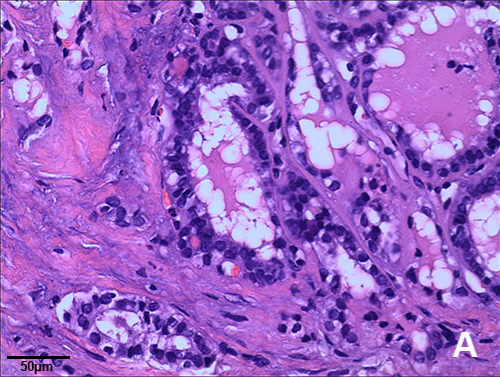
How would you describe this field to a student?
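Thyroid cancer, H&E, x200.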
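The lumina hold pale pink material with many clear, bubble-like vacuoles along their edges. On the left, dense pink collagenous stroma contains a few scattered spindle-shaped nuclei.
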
